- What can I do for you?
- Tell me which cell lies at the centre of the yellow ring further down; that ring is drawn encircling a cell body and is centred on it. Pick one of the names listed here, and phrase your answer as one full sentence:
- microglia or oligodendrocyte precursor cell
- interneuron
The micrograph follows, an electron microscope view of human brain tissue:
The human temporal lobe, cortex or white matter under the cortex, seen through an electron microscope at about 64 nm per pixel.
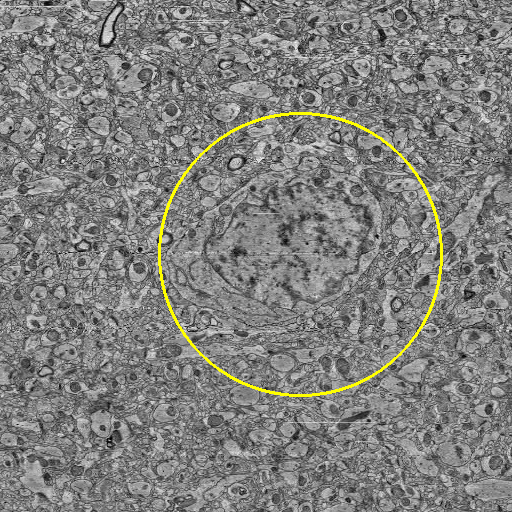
The cell whose body lies at the centre of the yellow ring is an interneuron.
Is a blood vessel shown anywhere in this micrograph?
No, the image shows no blood vessel.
